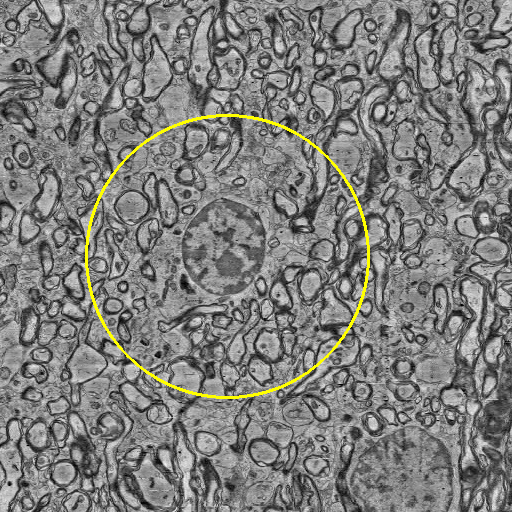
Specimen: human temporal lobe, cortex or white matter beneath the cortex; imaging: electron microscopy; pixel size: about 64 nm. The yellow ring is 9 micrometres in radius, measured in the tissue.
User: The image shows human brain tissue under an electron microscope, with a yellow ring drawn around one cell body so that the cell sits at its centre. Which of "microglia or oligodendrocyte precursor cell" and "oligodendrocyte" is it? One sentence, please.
At the centre of the ring sits a microglial cell or oligodendrocyte precursor cell.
